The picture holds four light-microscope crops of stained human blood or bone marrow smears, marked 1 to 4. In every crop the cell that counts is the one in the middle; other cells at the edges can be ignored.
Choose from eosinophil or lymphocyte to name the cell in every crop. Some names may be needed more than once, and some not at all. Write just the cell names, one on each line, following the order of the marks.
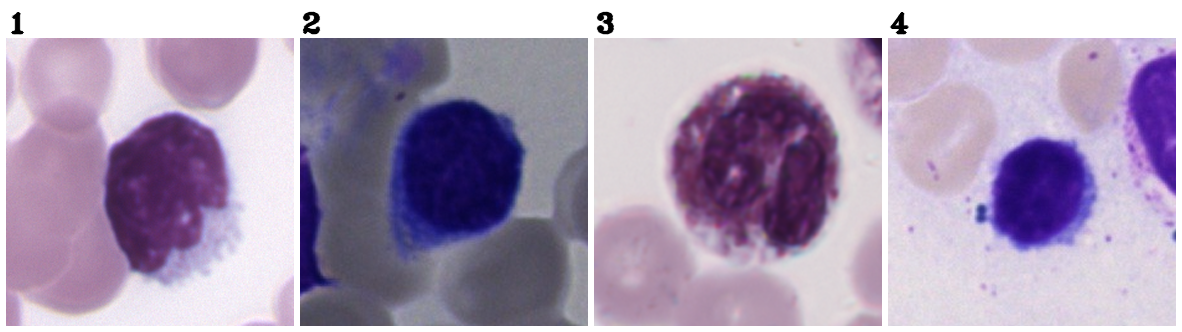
lymphocyte
lymphocyte
eosinophil
lymphocyte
